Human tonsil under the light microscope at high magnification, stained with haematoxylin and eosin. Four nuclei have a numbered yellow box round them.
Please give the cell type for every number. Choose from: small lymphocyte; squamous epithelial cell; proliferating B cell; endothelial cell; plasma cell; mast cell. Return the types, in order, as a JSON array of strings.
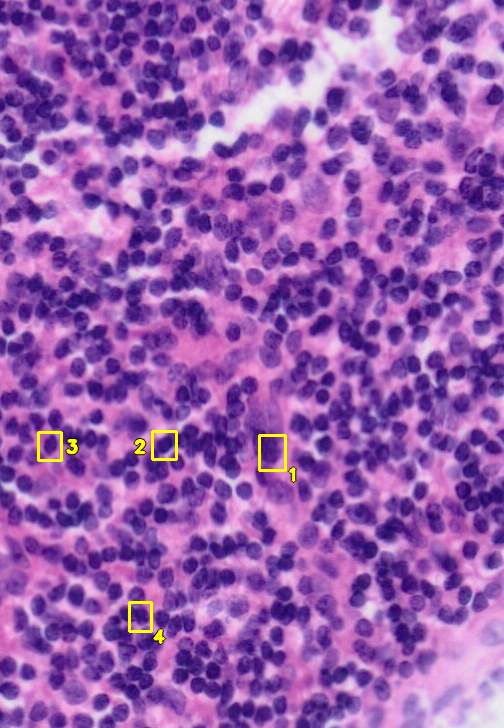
["endothelial cell", "small lymphocyte", "small lymphocyte", "small lymphocyte"]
